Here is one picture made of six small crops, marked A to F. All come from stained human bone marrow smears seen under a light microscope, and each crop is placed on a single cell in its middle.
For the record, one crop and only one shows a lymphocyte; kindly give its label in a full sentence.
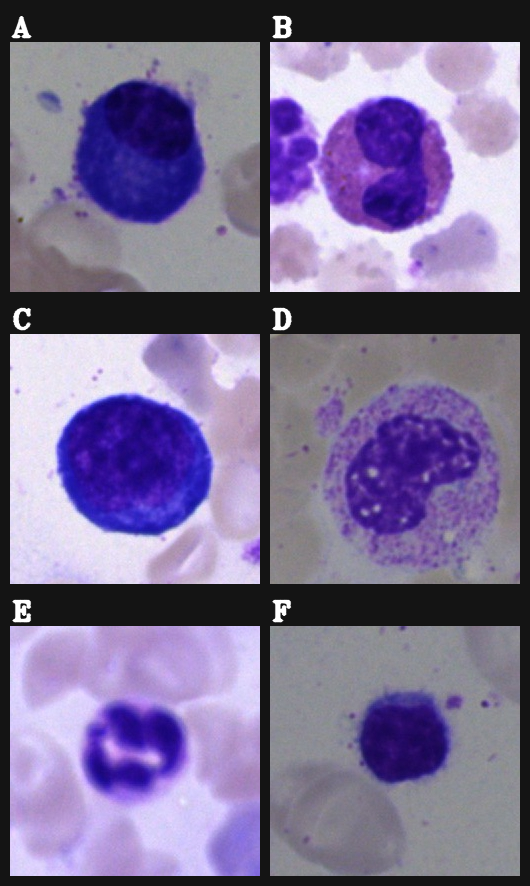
Crop F is the one depicting a lymphocyte.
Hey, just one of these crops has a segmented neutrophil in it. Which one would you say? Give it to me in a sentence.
The sole crop showing a segmented neutrophil is crop E.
